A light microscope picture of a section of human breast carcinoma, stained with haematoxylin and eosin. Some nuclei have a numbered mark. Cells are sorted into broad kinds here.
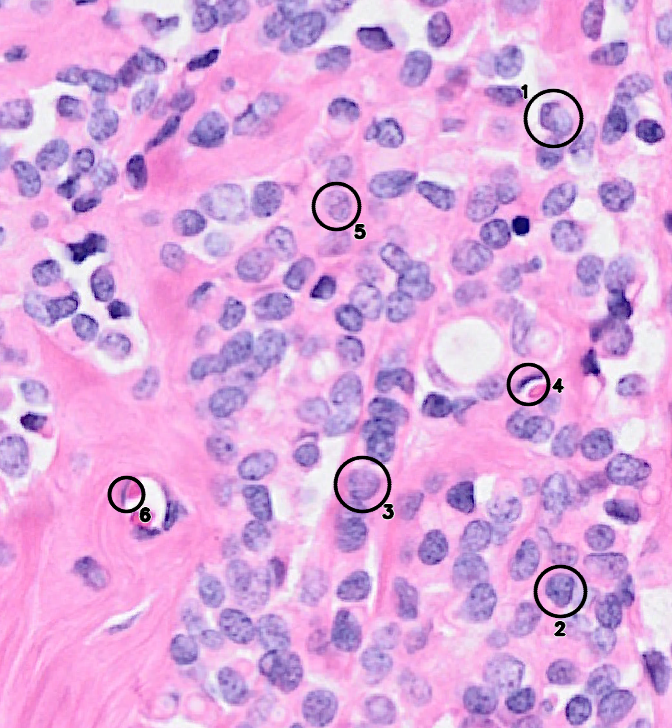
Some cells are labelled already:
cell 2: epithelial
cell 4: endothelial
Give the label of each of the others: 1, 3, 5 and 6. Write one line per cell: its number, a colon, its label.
1: epithelial
3: epithelial
5: epithelial
6: endothelial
